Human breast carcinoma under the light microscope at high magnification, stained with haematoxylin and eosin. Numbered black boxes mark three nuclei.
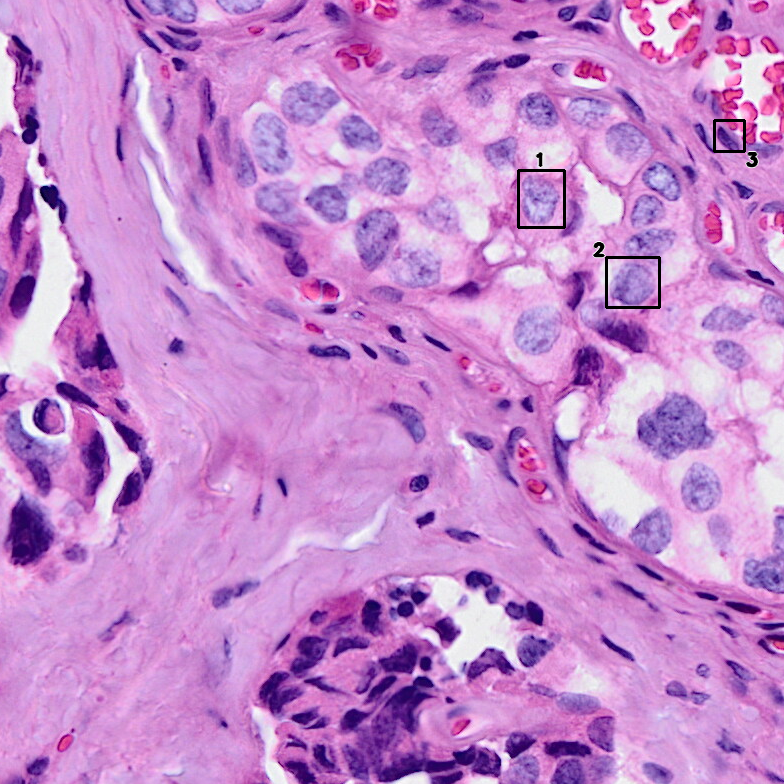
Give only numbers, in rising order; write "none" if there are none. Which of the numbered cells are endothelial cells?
3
